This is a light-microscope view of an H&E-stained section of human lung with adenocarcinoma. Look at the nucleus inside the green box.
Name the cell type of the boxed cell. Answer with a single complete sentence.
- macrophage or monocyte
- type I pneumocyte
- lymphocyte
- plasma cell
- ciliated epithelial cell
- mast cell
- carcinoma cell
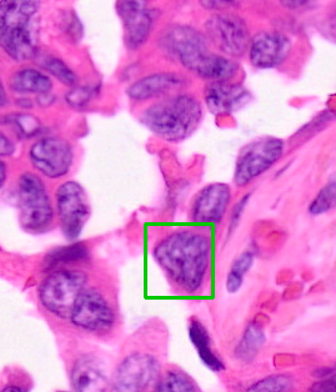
Cell type answer for this item: the boxed cell is a carcinoma cell.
